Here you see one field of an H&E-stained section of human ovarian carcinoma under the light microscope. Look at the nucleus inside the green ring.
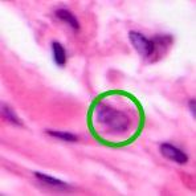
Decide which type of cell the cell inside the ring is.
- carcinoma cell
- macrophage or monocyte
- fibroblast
fibroblast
